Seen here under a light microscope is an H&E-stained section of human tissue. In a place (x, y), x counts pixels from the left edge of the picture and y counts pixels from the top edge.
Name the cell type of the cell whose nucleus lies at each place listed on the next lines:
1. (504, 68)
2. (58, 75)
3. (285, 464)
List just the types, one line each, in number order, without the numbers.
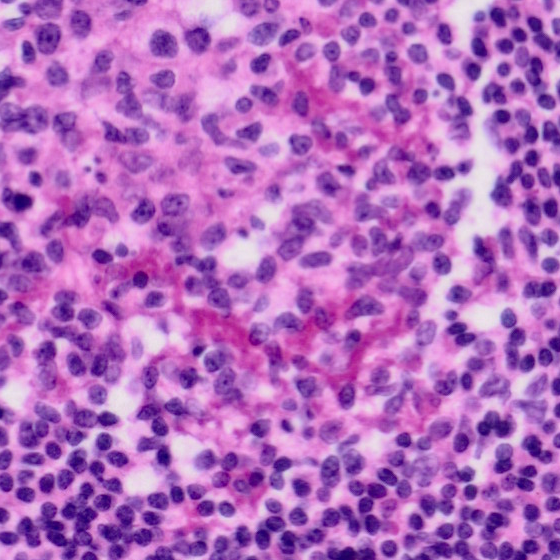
small lymphocyte
proliferating B cell
small lymphocyte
